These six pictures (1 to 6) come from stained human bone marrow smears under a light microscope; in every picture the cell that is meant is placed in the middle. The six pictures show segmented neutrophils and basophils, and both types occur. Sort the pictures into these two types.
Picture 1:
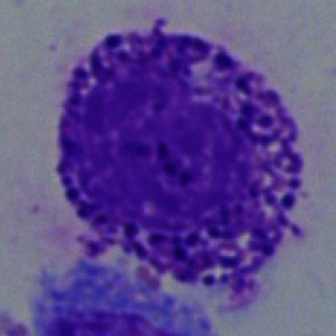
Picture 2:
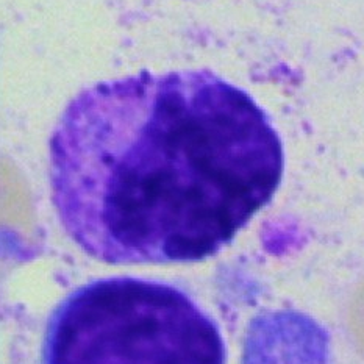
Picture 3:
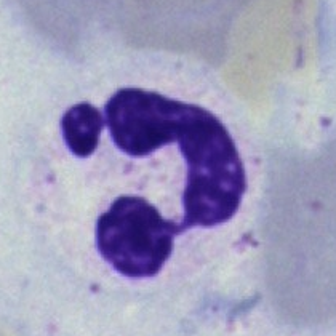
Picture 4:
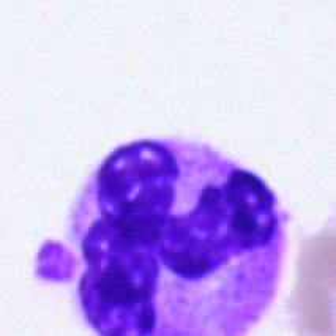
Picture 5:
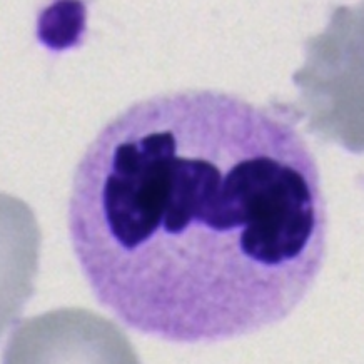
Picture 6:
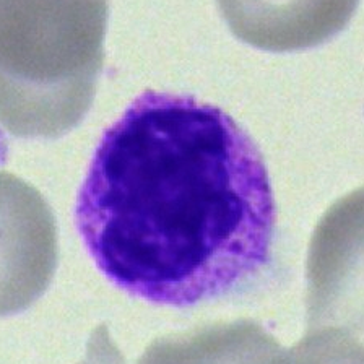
1: basophil
2: basophil
3: segmented neutrophil
4: segmented neutrophil
5: segmented neutrophil
6: basophil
